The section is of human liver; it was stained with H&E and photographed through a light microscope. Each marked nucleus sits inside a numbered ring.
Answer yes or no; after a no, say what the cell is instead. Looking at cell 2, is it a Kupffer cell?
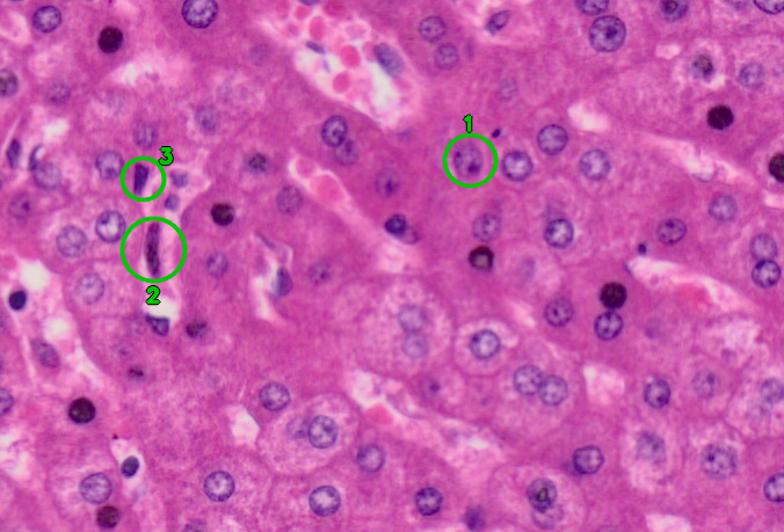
Yes.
